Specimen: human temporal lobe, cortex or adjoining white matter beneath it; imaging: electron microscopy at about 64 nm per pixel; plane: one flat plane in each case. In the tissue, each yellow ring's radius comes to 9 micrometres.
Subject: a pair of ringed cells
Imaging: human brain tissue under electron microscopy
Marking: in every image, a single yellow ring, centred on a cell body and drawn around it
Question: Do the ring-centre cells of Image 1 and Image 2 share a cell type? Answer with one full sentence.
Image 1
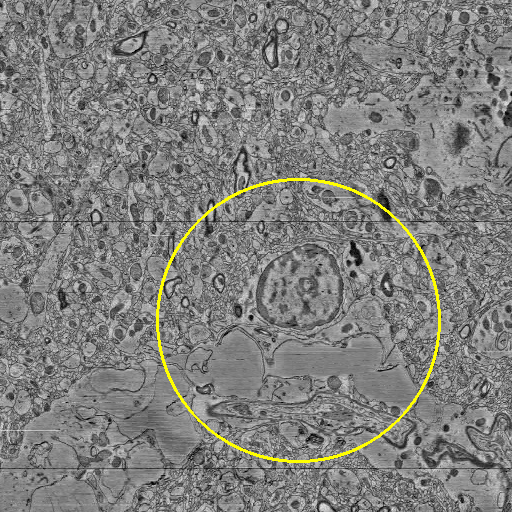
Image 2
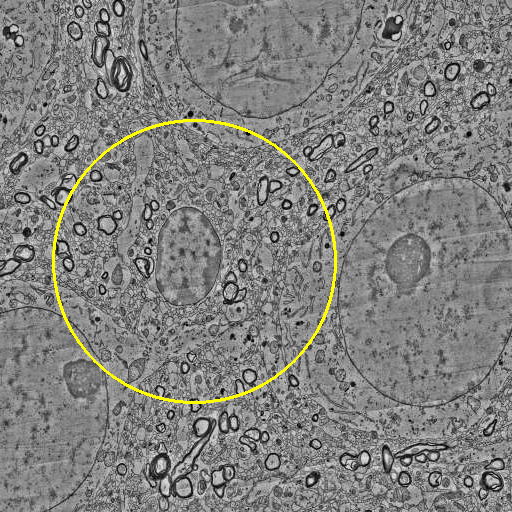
Yes, at each ring's centre in the images sits a cell of one common type.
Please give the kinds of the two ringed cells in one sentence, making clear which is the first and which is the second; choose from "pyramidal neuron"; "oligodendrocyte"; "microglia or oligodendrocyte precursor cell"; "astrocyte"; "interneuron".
Each of the two rings is centred on a microglial cell or oligodendrocyte precursor cell.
